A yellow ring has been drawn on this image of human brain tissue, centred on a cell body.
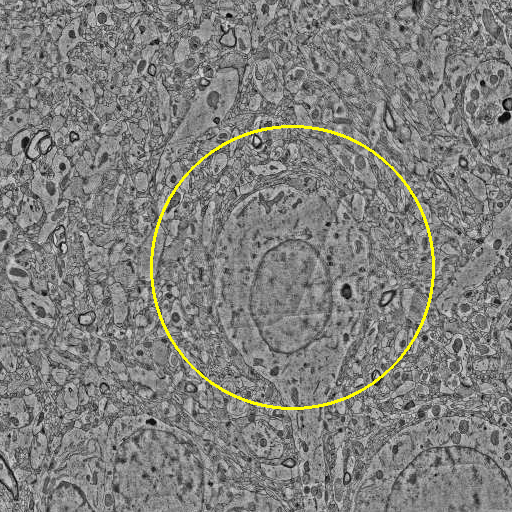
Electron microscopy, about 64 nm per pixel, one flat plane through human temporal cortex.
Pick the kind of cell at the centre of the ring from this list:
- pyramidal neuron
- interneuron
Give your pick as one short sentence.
The centre of the ring holds a pyramidal neuron.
